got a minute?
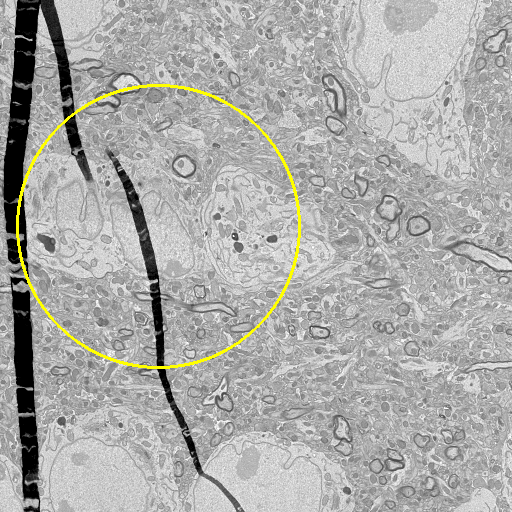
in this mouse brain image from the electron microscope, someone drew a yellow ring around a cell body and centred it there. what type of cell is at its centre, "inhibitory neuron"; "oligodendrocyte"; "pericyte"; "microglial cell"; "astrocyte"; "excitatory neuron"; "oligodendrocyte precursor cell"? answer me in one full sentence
It's an oligodendrocyte precursor cell at the middle of that yellow ring in the shot.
